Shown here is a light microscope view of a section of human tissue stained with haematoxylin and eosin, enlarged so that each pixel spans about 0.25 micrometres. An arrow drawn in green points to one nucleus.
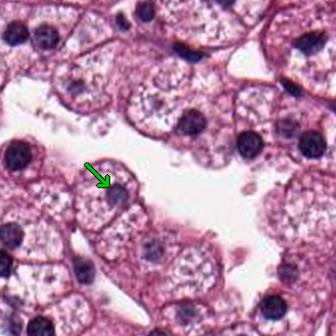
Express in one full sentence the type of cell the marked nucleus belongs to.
In the section shown, the marked nucleus belongs to an adrenal cortical cell.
